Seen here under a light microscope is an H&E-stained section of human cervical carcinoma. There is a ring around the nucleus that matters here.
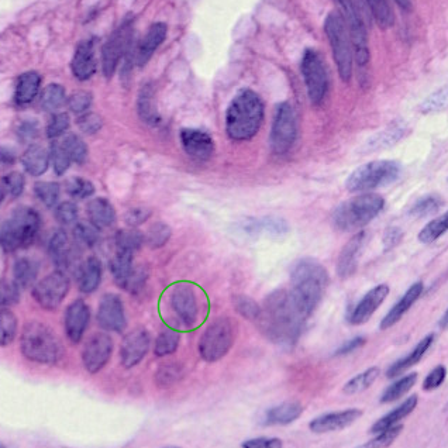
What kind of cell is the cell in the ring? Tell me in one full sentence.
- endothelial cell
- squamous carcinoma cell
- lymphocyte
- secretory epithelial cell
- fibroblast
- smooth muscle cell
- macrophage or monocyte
The classification of the cell in the ring is as a secretory epithelial cell.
